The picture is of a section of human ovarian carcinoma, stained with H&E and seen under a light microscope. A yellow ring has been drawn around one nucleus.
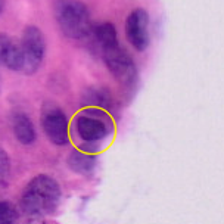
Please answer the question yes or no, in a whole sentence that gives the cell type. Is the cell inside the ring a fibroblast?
No, it is not as a fibroblast but as a carcinoma cell that the cell inside the ring is classed.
